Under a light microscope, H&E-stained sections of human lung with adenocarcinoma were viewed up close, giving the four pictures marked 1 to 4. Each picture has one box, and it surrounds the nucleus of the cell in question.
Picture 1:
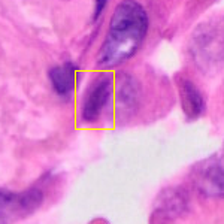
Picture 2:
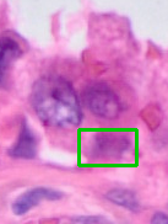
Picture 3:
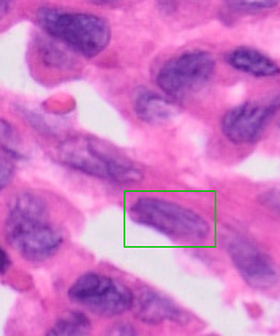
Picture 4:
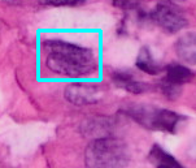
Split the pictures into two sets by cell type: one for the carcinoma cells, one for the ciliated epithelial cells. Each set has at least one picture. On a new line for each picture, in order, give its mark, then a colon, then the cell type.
1: carcinoma cell
2: carcinoma cell
3: carcinoma cell
4: ciliated epithelial cell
